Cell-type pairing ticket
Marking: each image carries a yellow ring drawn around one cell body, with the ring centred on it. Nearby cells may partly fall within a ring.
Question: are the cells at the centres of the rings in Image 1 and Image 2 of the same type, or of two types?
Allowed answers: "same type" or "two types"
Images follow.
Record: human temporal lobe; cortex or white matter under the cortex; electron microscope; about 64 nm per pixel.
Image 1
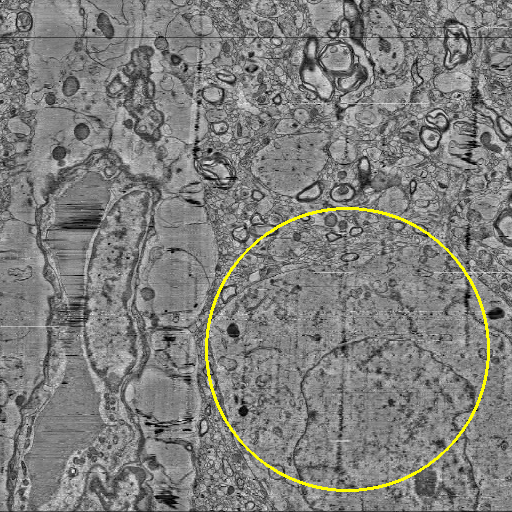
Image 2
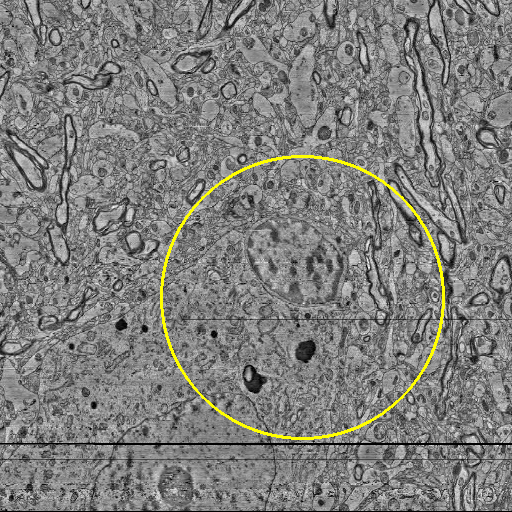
two types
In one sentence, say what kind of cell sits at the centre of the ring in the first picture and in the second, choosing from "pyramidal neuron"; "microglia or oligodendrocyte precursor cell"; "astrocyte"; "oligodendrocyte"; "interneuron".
The first picture's ringed cell is a pyramidal neuron, while the second picture's is an oligodendrocyte.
